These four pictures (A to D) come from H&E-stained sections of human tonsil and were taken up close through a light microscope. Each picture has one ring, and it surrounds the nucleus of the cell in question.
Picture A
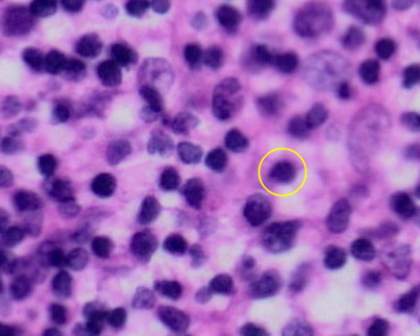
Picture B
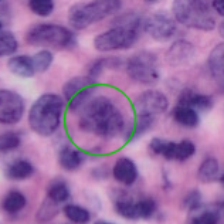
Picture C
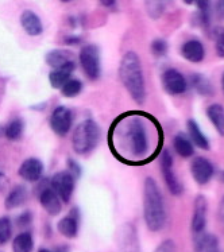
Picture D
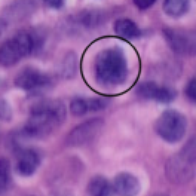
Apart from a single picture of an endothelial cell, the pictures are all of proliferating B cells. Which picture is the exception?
C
